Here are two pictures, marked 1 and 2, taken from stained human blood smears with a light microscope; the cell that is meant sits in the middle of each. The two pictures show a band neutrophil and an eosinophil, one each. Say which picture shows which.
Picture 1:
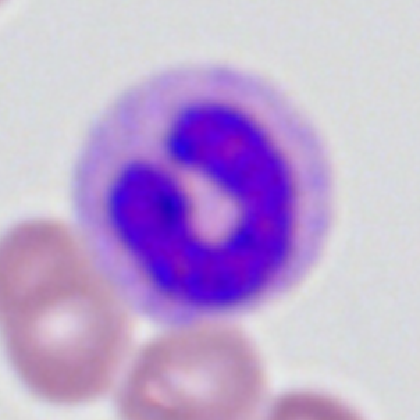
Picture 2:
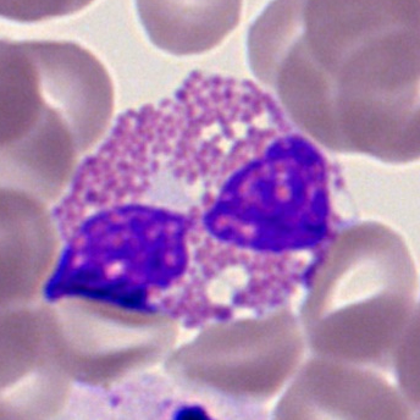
1: band neutrophil
2: eosinophil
